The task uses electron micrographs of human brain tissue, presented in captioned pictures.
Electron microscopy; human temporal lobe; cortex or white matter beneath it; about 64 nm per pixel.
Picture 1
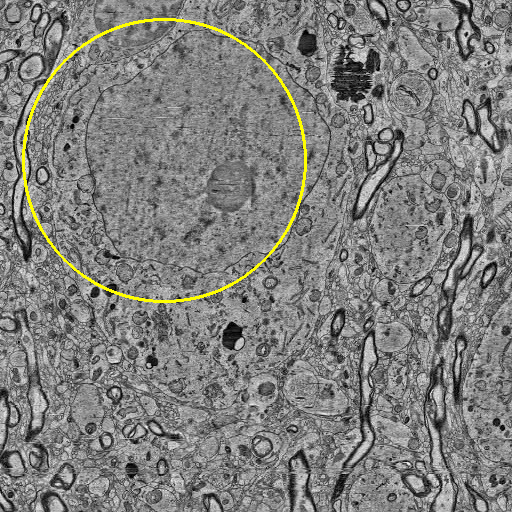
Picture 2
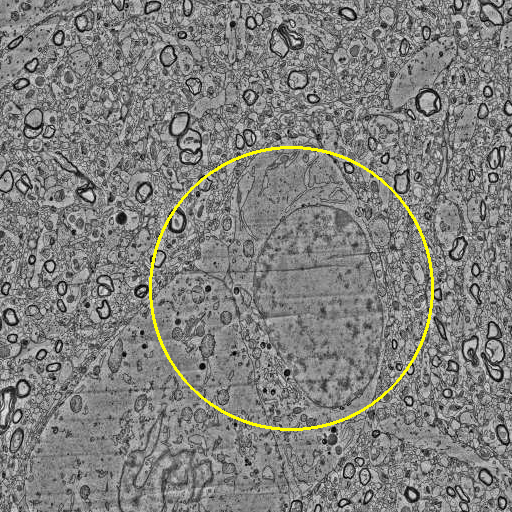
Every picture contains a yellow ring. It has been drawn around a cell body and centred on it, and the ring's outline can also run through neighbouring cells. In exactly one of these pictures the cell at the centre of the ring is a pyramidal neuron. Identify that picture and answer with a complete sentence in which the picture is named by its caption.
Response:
The ring in Picture 1 is centred on that kind of cell.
